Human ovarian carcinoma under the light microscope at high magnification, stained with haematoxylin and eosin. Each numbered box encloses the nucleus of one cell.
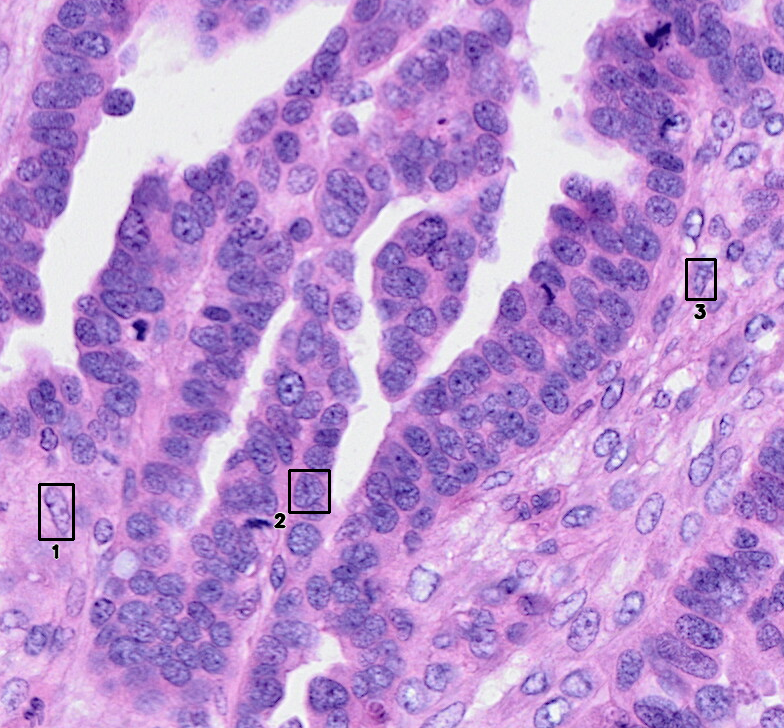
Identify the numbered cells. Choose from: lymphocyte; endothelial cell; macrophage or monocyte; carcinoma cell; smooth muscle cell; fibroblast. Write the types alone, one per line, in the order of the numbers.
fibroblast
carcinoma cell
fibroblast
